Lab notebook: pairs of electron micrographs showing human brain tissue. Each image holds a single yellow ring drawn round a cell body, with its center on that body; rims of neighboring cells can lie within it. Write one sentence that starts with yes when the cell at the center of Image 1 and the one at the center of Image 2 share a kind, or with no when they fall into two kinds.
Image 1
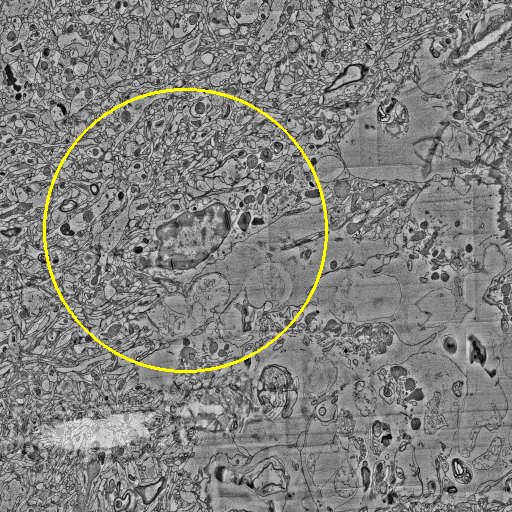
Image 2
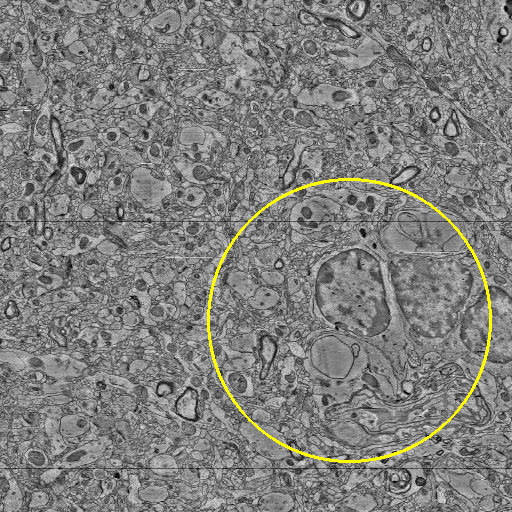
Yes, the centered cell in Image 1 and the centered cell in Image 2 are of one kind.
